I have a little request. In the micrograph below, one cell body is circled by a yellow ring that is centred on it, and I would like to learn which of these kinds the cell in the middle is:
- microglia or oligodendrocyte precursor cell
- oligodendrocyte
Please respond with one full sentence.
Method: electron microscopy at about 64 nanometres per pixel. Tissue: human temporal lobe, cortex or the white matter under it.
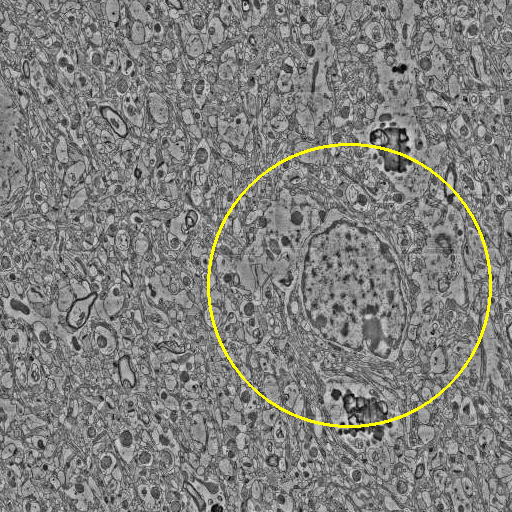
The cell sitting in the middle of the yellow ring in the micrograph is a microglial cell or oligodendrocyte precursor cell.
